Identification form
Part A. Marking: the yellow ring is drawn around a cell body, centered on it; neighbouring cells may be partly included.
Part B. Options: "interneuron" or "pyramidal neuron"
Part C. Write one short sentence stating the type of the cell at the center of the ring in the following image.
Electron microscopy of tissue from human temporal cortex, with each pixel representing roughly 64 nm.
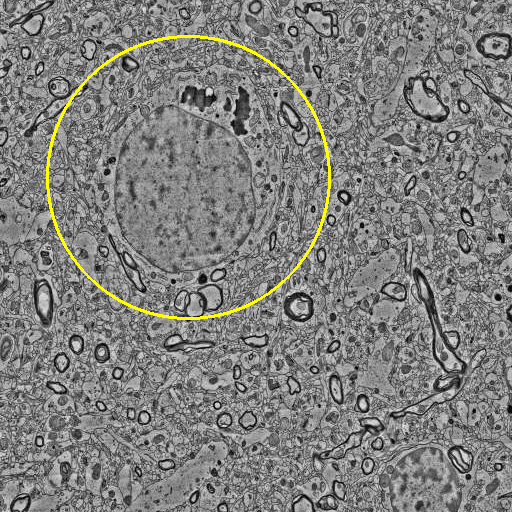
The center of the ring holds an interneuron.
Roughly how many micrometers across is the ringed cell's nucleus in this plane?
Approximately 12 by 9 micrometers in this plane.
